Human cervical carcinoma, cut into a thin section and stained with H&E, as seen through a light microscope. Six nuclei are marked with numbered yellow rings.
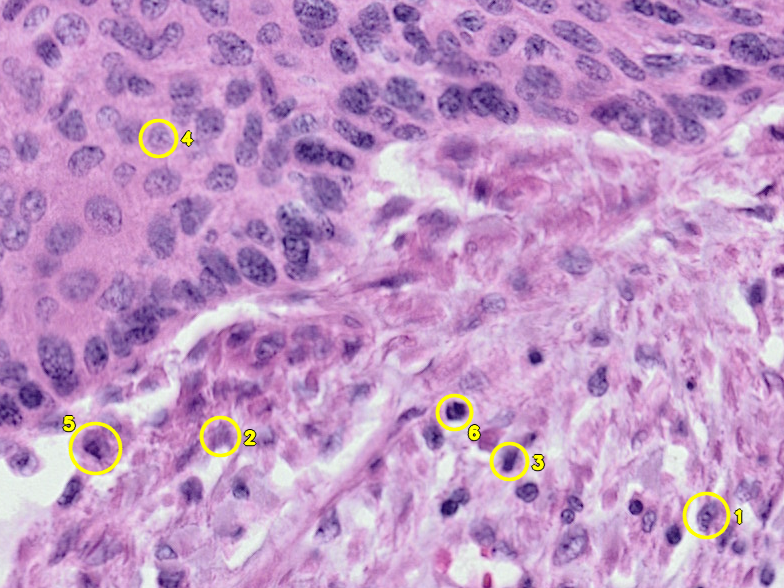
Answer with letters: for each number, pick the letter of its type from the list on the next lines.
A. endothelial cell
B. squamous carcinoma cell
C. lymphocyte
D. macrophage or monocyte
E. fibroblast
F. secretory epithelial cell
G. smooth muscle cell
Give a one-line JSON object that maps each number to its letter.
{"1": "D", "2": "E", "3": "C", "4": "B", "5": "D", "6": "C"}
